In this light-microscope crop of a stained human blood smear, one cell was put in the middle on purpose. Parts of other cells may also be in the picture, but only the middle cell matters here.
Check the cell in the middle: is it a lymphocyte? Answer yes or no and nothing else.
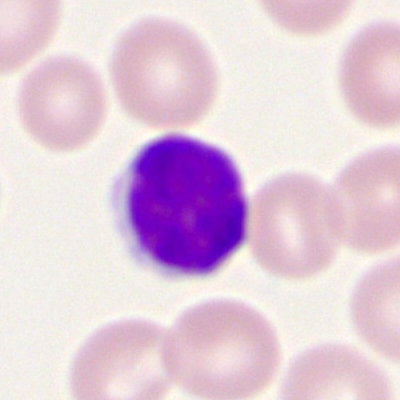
yes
